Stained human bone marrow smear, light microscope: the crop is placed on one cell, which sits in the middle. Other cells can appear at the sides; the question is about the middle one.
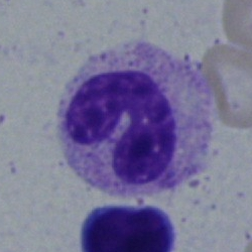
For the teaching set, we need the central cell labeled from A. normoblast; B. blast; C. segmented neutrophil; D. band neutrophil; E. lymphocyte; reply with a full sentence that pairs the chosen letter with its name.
In this crop the middle cell is a band neutrophil, so option D is the correct answer.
